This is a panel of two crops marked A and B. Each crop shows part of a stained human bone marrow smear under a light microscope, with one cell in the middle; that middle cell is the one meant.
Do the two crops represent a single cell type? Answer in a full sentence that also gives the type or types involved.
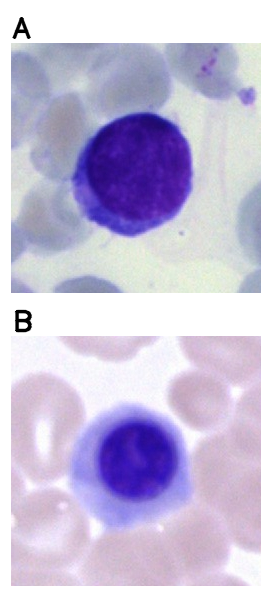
No, a lymphocyte is what crop A shows, and an erythroblast is what crop B shows.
